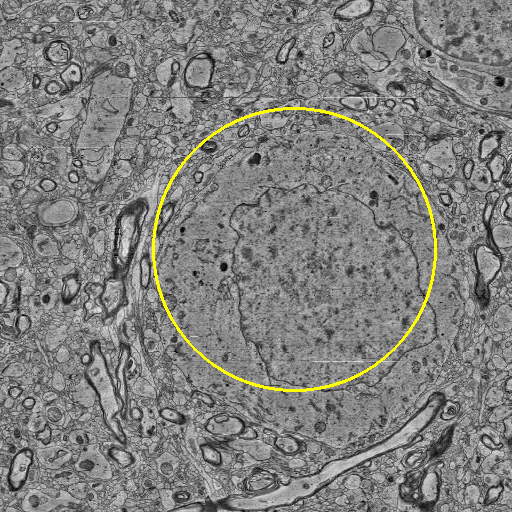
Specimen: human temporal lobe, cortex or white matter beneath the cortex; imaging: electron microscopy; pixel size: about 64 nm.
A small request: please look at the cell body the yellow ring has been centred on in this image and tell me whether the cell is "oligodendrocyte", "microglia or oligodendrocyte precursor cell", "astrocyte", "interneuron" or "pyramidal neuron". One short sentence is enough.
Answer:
The cell marked by the ring is a pyramidal neuron.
